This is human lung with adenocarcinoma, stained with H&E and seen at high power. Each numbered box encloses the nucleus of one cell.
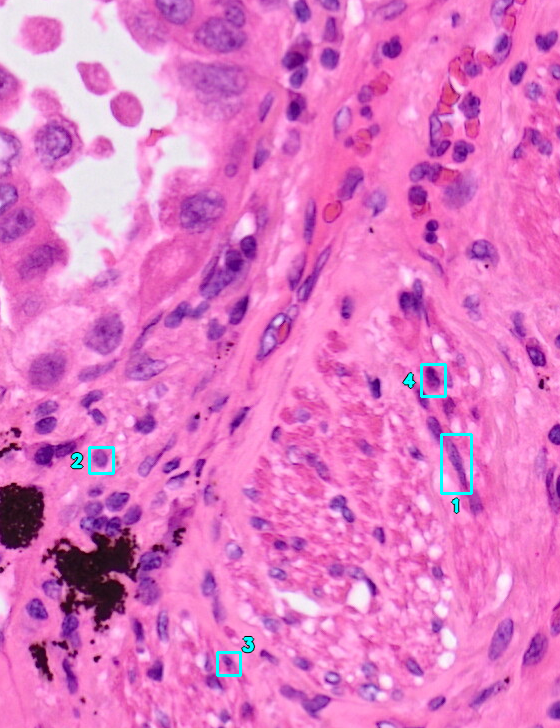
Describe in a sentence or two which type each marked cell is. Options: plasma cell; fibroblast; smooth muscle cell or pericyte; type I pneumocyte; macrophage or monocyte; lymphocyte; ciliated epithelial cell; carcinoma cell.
Cell 1 is a smooth muscle cell or pericyte, cell 2 is a lymphocyte, cell 3 is a smooth muscle cell or pericyte and cell 4 is a smooth muscle cell or pericyte.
